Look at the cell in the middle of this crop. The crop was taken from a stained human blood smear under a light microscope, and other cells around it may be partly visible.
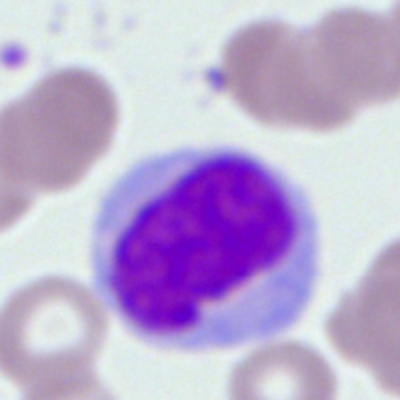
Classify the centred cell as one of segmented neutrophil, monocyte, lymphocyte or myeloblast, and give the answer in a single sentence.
Present in the middle of the crop is a monocyte.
